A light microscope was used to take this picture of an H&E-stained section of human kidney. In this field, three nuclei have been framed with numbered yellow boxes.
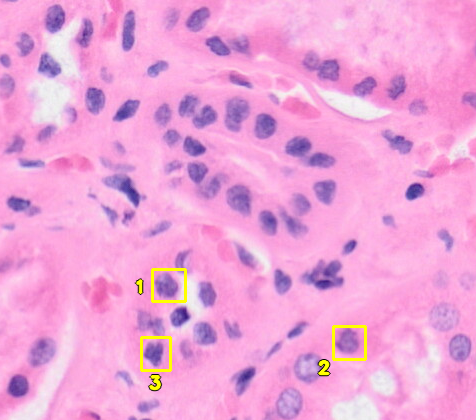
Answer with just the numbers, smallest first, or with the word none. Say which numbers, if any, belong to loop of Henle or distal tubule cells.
1, 3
